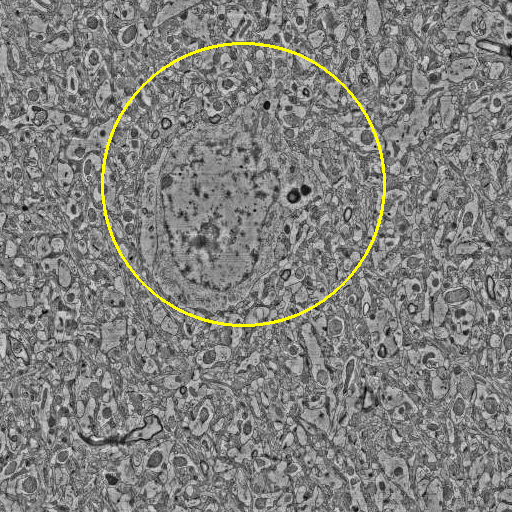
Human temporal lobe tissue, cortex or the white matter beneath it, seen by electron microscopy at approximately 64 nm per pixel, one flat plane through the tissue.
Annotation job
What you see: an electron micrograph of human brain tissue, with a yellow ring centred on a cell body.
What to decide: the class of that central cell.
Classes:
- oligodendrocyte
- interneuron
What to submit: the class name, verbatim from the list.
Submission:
interneuron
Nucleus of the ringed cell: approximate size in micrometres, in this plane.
In this plane the nucleus spans approximately 9 by 8 micrometers.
